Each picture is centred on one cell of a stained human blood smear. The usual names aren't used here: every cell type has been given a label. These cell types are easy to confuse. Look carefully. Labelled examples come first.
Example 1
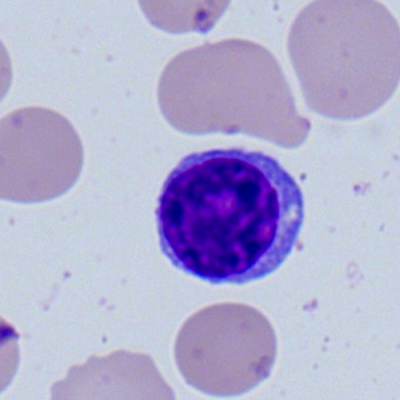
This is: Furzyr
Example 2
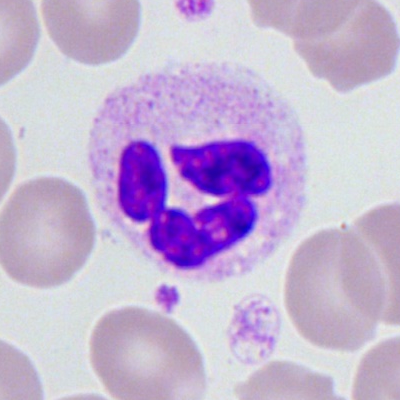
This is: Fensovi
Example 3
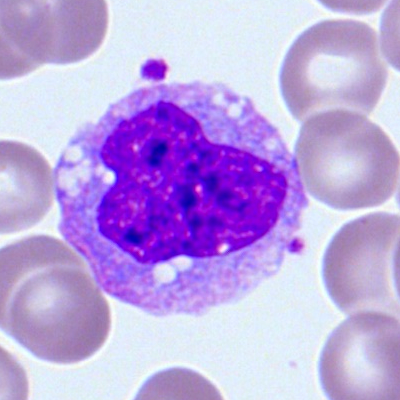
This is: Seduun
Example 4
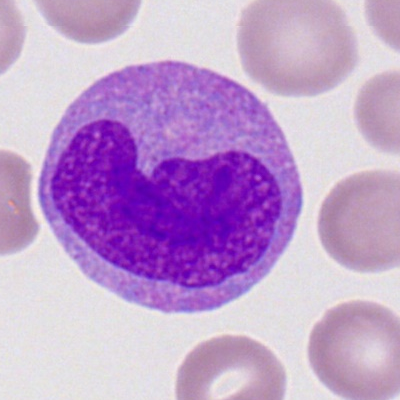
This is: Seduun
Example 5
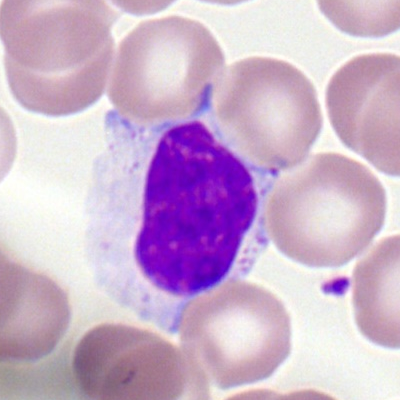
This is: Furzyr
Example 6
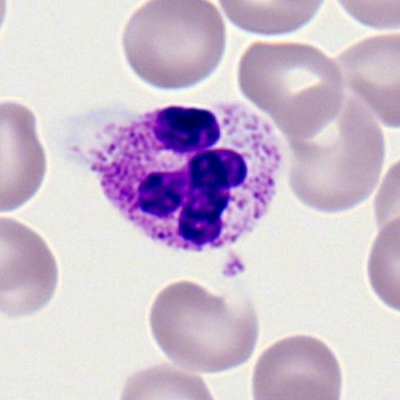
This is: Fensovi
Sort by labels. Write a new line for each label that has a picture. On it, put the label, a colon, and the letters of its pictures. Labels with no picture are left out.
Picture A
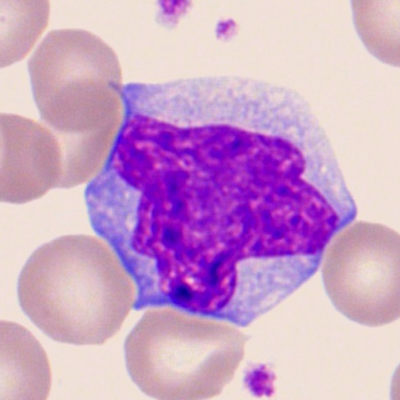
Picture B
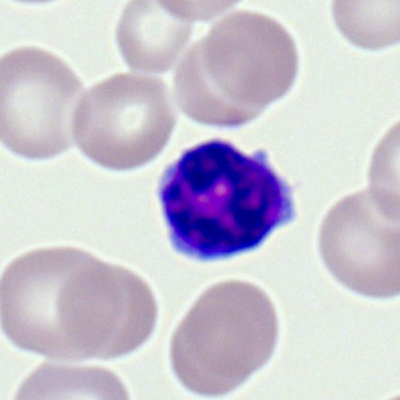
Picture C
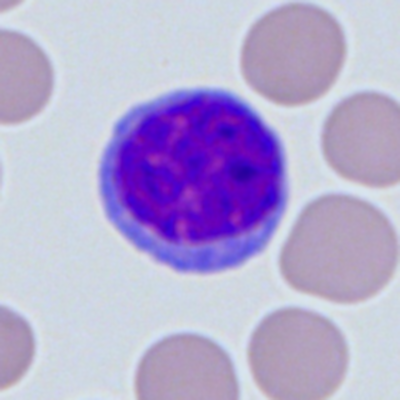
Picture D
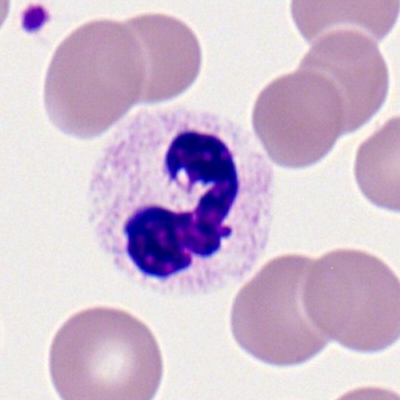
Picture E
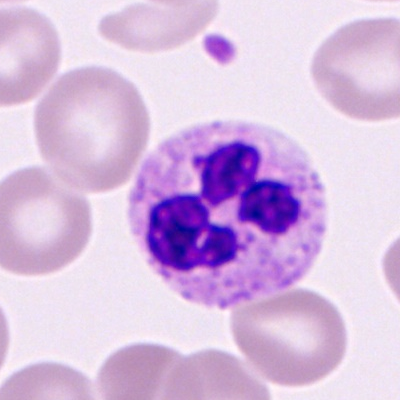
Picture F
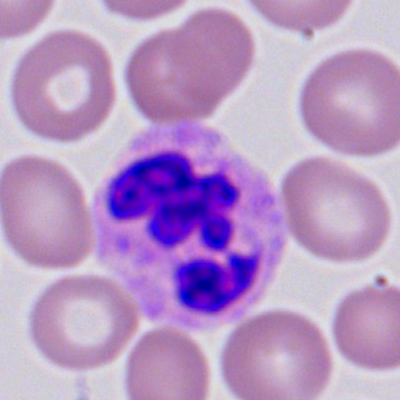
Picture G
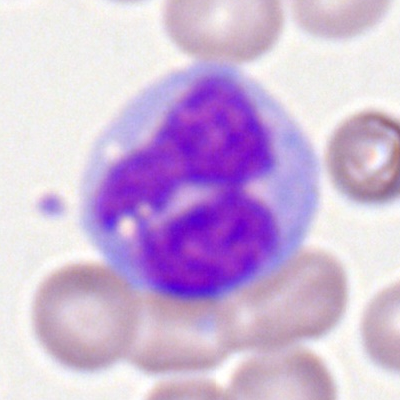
Furzyr: B, C
Fensovi: D, E, F
Seduun: A, G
